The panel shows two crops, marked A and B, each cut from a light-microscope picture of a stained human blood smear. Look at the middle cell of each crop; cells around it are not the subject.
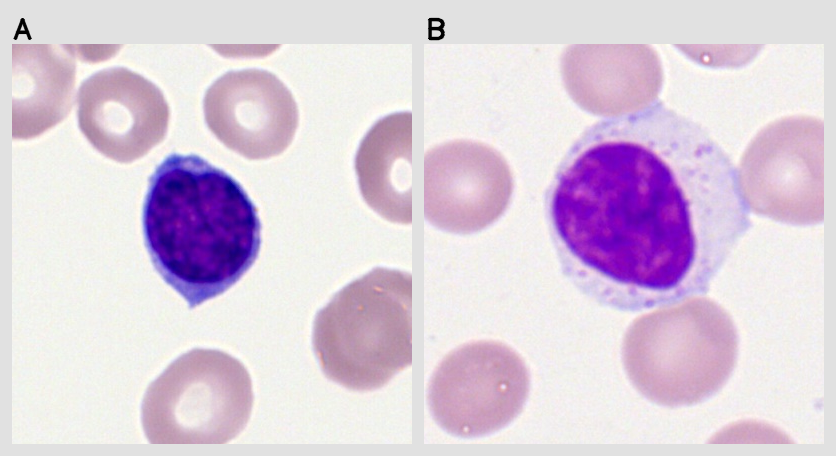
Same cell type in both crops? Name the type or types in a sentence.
Yes, in both crops the centred cells are lymphocytes.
